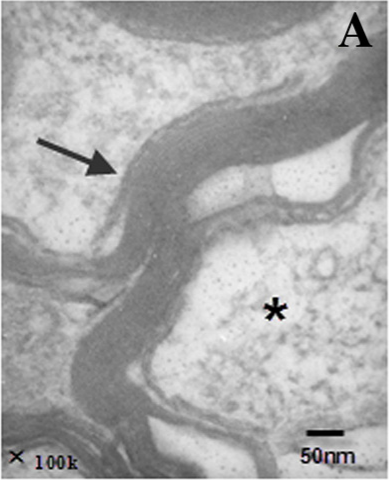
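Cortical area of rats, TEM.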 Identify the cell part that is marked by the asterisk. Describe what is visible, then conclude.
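The asterisk lies in a pale, finely granular and filamentous interior. This pale interior is bordered by the dark wrapping band.
Conclusion: neural axon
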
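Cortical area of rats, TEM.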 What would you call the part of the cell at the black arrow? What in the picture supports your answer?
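Myelin sheath. The arrow points to a thick, dark, band-like wrapping that curves through the field. The band is compact and evenly dense with smooth edges.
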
